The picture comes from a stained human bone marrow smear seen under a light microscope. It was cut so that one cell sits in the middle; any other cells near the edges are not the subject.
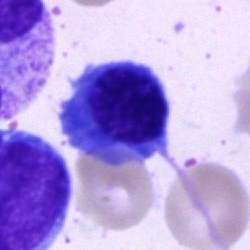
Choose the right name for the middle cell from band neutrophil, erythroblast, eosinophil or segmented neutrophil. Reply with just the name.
erythroblast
